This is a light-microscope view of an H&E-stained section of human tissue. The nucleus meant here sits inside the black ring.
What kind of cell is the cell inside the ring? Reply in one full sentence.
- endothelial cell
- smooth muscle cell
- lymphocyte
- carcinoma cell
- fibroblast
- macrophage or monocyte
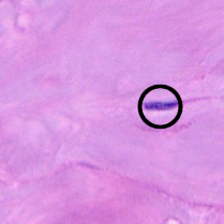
Typologically, the cell inside the ring is a fibroblast in this section.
